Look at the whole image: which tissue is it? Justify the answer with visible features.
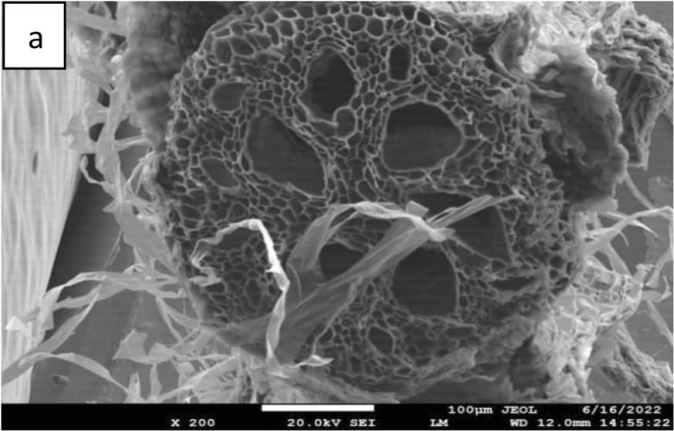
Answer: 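Root. A roughly round cross section of honeycomb-like tissue. Several wide vessel openings lie in a ring within small polygonal cells.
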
